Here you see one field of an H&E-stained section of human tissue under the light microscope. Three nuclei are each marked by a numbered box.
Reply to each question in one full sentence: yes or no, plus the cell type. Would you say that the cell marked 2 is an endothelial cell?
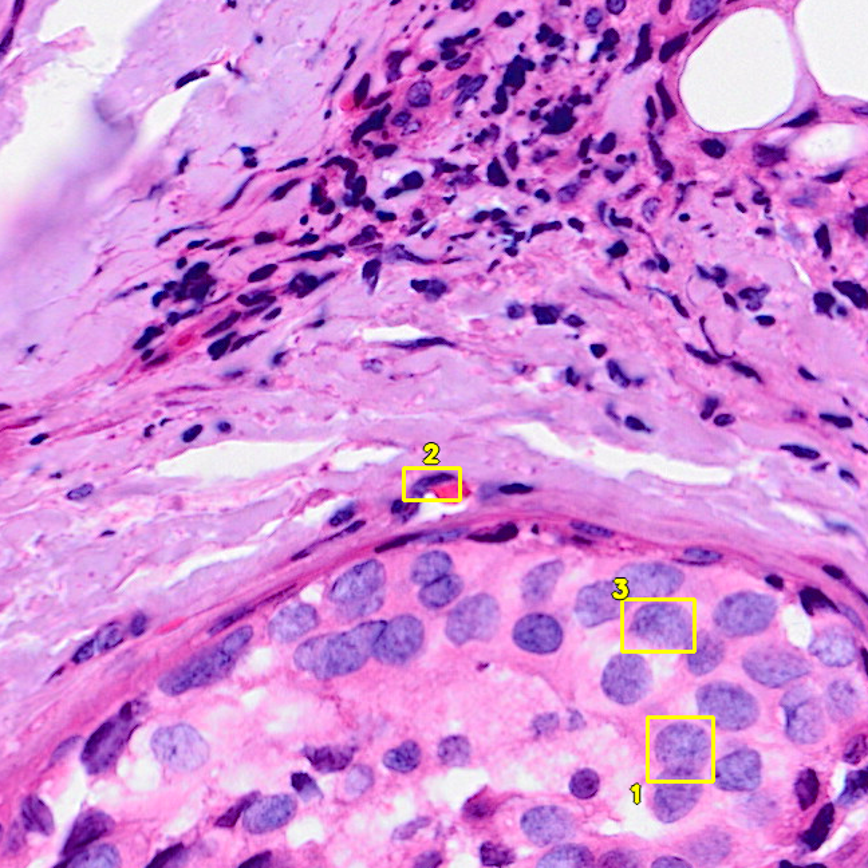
Yes, the cell identified by number 2 is an endothelial cell.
